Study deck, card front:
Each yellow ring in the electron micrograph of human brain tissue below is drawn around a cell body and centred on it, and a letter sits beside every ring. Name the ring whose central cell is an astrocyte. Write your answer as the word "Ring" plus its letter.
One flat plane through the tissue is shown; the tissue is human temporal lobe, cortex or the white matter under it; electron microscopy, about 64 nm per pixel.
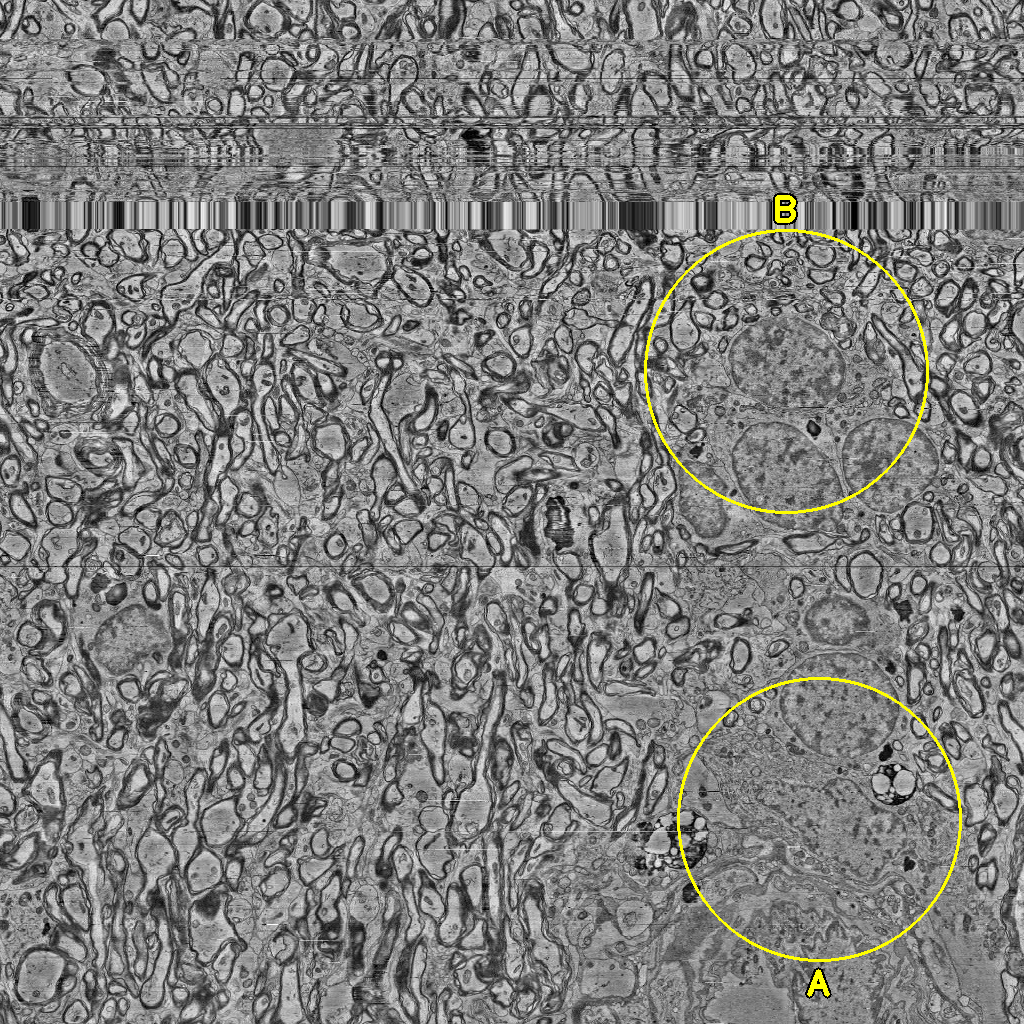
Ring A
